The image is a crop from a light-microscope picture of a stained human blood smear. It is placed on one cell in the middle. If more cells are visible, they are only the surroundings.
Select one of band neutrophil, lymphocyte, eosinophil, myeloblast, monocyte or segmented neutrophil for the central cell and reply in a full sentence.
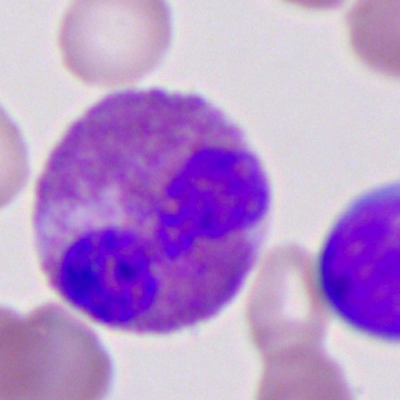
Within this crop, an eosinophil occupies the central position.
